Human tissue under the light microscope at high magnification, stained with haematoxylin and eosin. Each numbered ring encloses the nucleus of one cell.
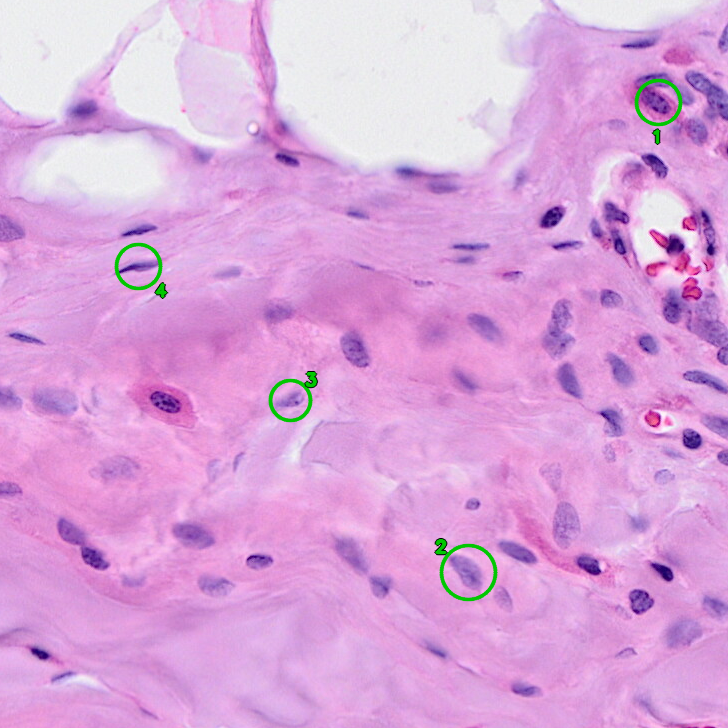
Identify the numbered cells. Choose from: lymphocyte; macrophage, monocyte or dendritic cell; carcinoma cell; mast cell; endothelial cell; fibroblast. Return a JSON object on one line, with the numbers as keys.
{"1": "mast cell", "2": "fibroblast", "3": "fibroblast", "4": "fibroblast"}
